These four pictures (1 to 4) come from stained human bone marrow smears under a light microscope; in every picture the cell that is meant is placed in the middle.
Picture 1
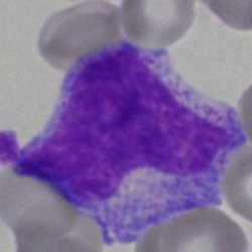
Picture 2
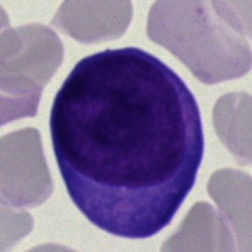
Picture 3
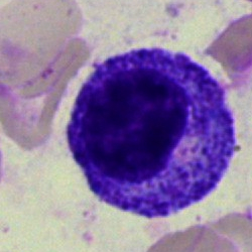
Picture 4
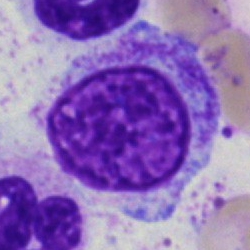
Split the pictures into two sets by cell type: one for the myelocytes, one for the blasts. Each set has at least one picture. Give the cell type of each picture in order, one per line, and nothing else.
myelocyte
blast
myelocyte
myelocyte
